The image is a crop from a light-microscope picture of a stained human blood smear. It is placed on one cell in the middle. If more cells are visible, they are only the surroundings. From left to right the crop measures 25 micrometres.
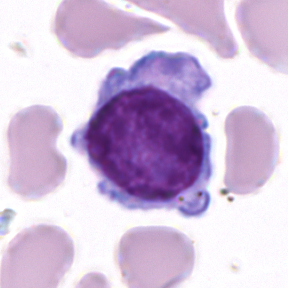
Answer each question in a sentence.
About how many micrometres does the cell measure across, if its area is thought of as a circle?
The diameter of the cell comes to about 13 micrometres.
